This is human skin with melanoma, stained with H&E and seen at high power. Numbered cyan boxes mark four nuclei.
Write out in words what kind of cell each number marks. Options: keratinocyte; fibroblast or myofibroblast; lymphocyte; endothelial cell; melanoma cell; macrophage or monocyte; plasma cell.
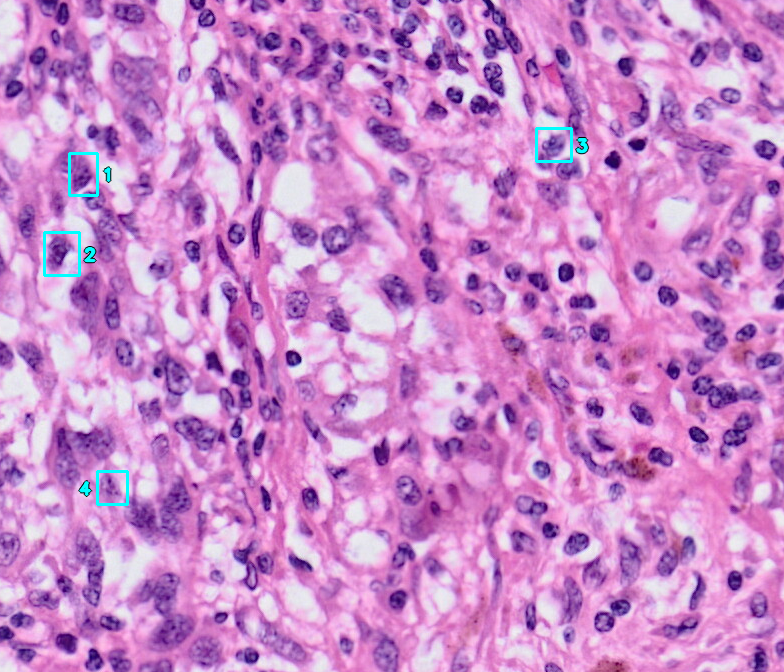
Cell 1 is a melanoma cell, cell 2 is a melanoma cell, cell 3 is a lymphocyte and cell 4 is a melanoma cell.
